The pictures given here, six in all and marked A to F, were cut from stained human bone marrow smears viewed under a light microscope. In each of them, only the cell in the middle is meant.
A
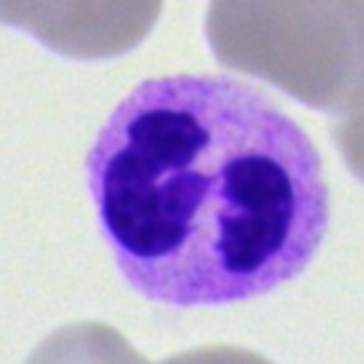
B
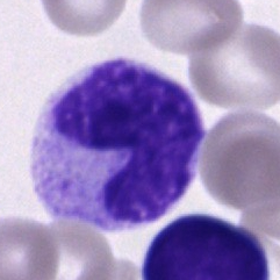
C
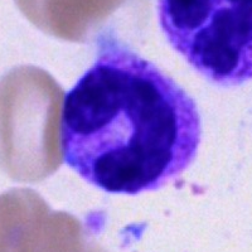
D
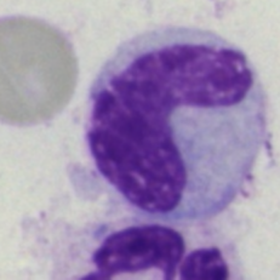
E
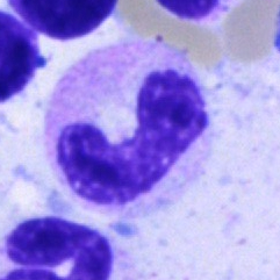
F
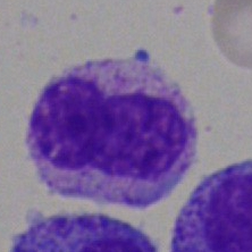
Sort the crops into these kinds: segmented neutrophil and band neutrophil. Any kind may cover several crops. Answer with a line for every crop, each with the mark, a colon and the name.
A: segmented neutrophil
B: band neutrophil
C: band neutrophil
D: band neutrophil
E: band neutrophil
F: band neutrophil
